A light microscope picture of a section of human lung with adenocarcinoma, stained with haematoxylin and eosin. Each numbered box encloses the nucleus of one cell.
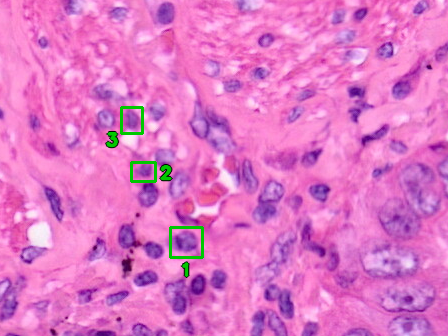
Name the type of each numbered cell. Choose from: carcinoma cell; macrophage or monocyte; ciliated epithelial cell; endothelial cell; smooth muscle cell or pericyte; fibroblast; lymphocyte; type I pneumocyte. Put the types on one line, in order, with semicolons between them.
lymphocyte; smooth muscle cell or pericyte; smooth muscle cell or pericyte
